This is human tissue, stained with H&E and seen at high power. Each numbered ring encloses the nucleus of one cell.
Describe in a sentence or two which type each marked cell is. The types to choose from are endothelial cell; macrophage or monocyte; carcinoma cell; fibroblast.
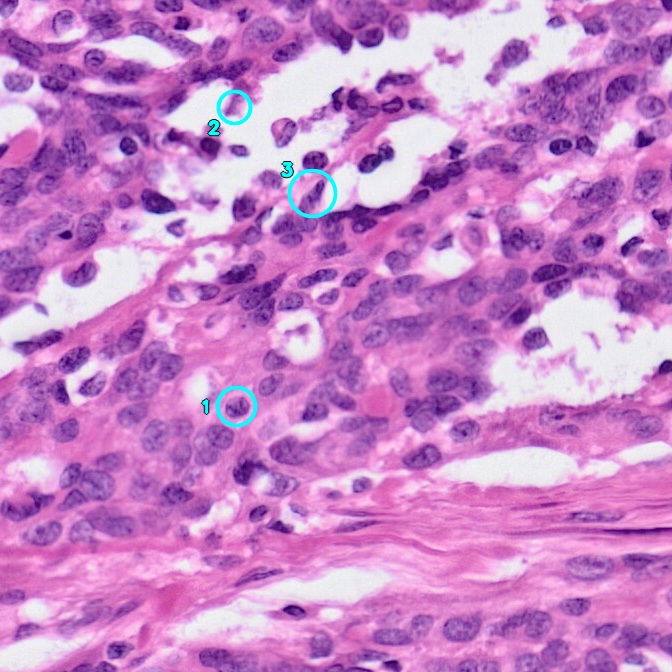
Cell 1 is a macrophage or monocyte, cell 2 is a carcinoma cell and cell 3 is a macrophage or monocyte.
